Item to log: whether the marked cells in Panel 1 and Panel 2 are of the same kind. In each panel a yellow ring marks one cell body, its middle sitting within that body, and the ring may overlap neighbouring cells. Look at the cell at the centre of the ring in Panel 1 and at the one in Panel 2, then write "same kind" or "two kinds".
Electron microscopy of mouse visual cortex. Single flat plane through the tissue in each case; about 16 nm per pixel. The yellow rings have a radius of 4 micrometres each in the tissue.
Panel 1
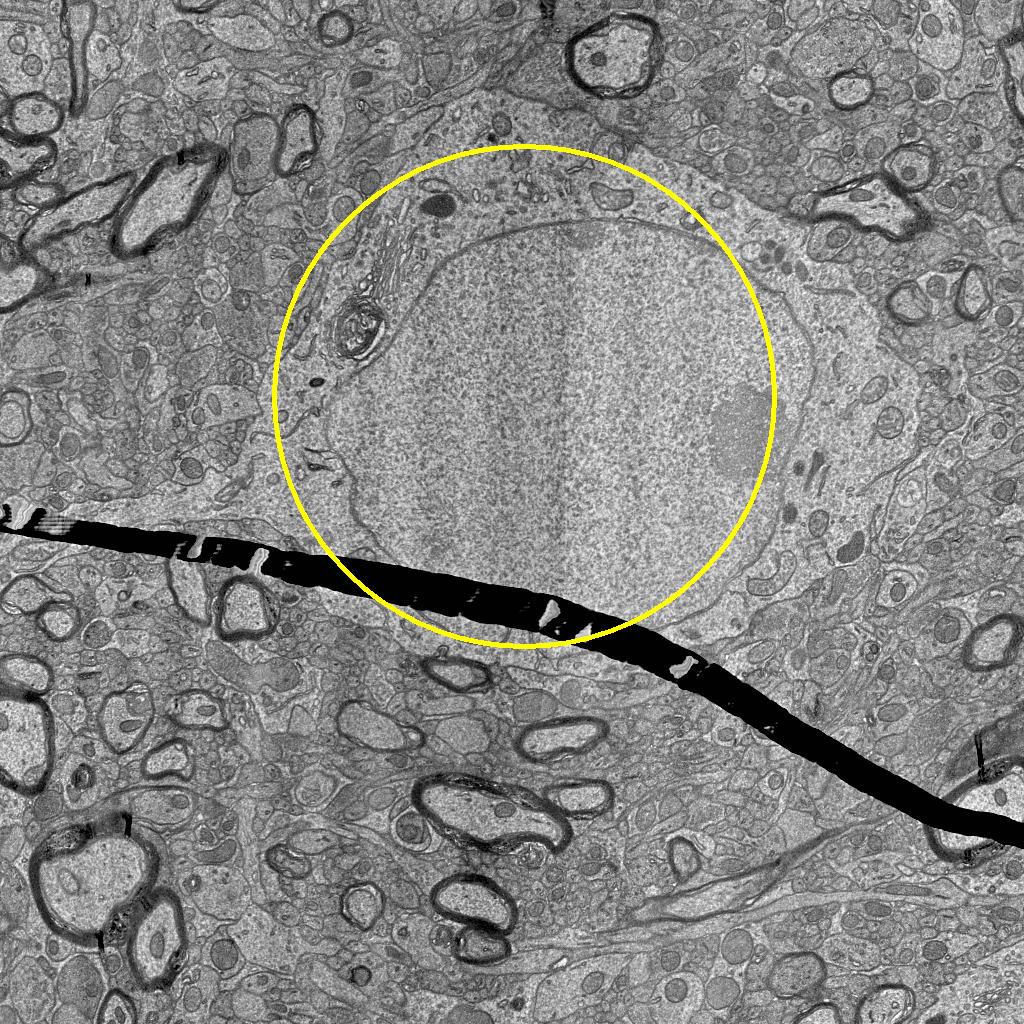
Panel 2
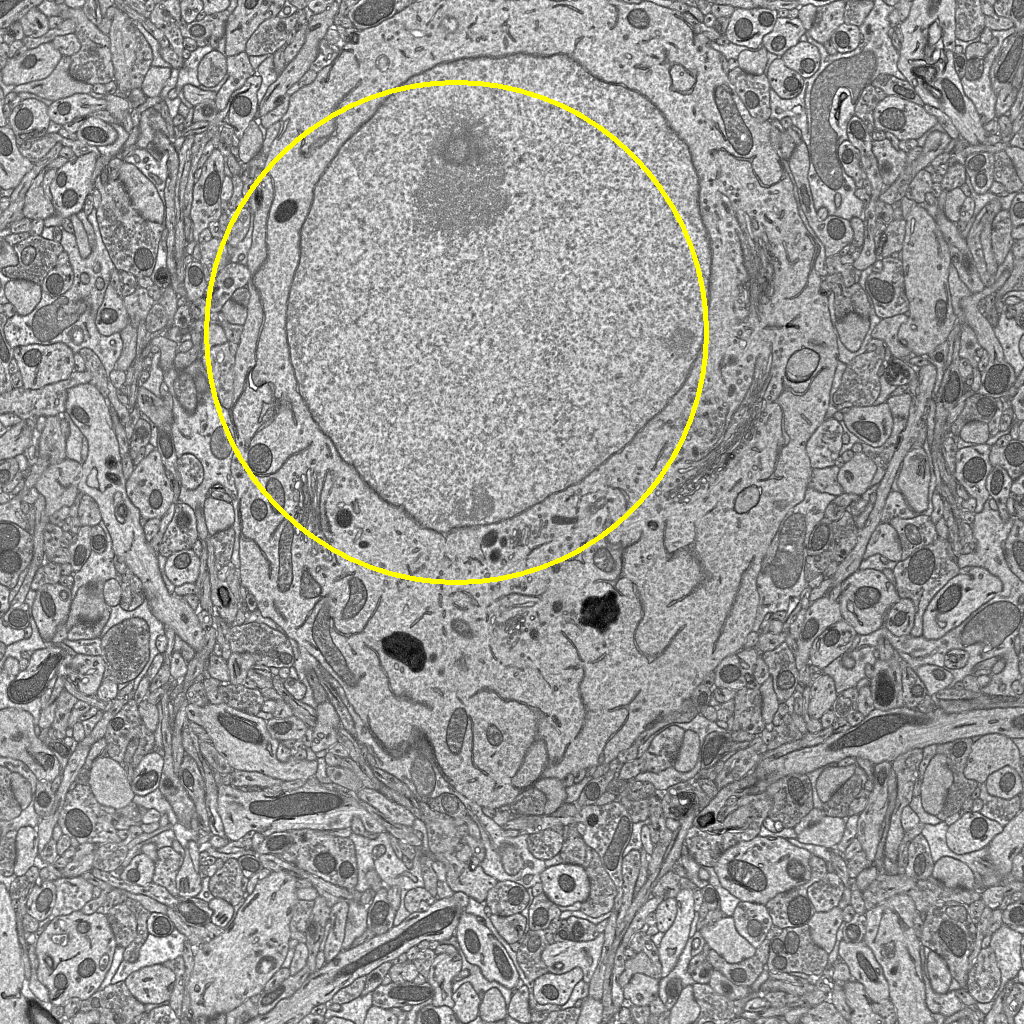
same kind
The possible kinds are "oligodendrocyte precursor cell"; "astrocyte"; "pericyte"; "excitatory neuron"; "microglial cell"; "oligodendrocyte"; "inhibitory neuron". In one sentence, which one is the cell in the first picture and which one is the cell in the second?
The ring centre holds an excitatory neuron in each of the two pictures.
